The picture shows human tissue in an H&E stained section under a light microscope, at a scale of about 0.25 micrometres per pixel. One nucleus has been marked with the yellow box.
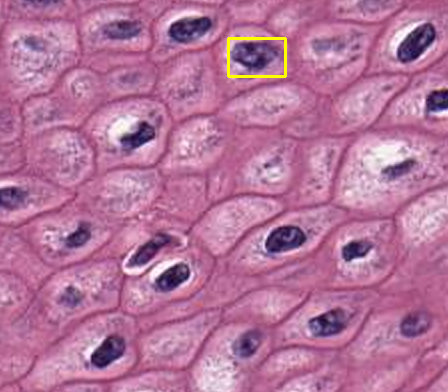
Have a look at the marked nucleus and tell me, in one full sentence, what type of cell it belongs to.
The mark indicates the nucleus of a squamous epithelial cell.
